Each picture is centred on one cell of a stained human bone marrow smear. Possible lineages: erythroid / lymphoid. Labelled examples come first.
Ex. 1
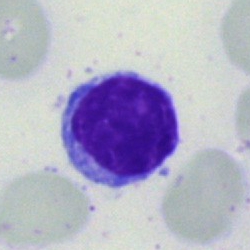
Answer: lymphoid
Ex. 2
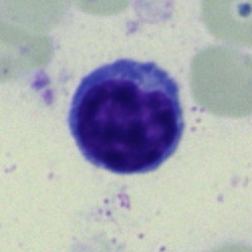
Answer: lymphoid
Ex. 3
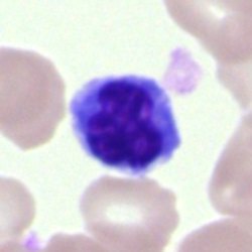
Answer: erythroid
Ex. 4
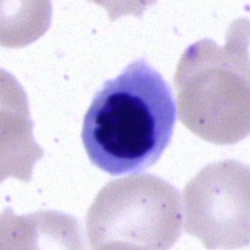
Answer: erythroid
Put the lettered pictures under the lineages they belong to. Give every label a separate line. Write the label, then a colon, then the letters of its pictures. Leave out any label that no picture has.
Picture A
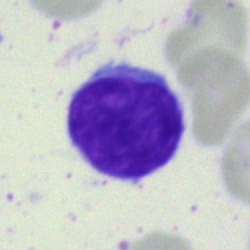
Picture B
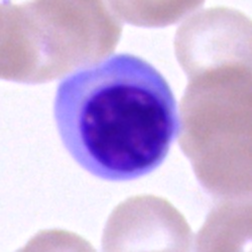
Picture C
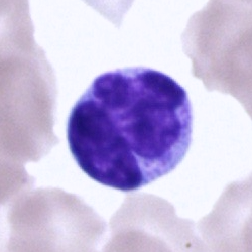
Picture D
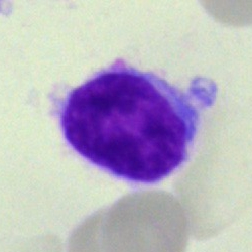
erythroid: B
lymphoid: A, C, D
